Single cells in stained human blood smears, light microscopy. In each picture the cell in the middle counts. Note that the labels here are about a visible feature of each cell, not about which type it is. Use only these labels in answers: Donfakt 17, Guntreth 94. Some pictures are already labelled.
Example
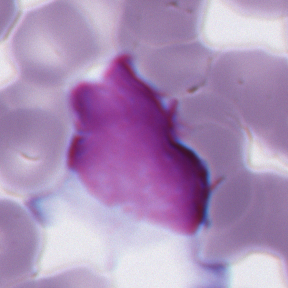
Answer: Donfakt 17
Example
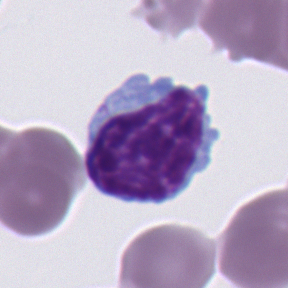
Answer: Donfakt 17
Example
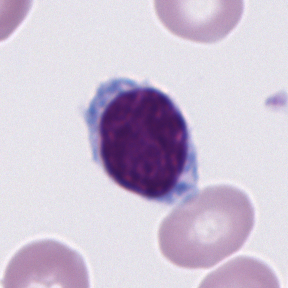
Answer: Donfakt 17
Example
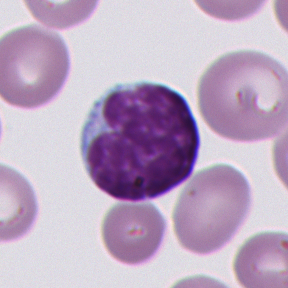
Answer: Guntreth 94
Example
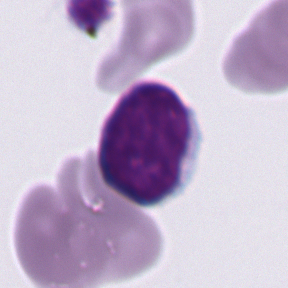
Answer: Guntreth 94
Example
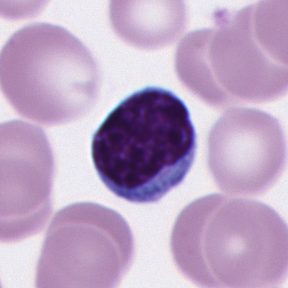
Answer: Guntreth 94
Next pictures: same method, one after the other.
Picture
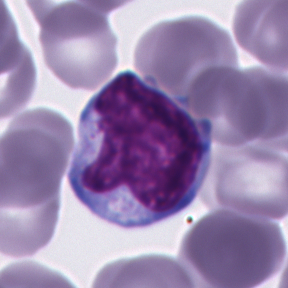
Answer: Donfakt 17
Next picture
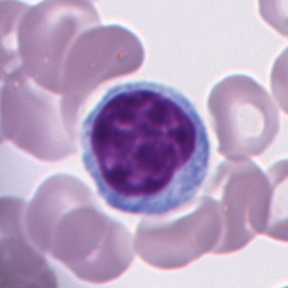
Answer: Guntreth 94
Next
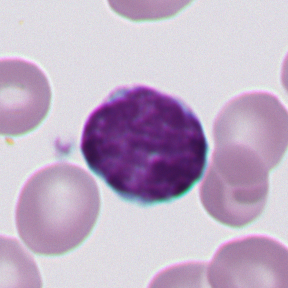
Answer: Guntreth 94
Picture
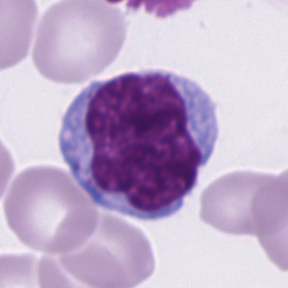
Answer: Guntreth 94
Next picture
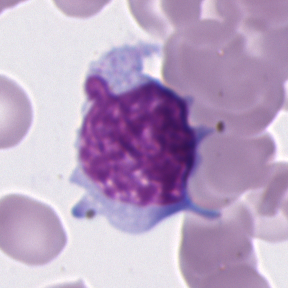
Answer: Donfakt 17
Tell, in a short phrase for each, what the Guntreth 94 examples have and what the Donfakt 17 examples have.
Guntreth 94, smooth outline; Donfakt 17, ragged outline or projections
